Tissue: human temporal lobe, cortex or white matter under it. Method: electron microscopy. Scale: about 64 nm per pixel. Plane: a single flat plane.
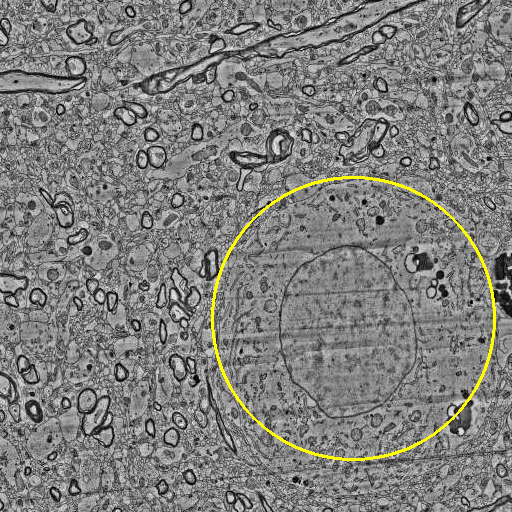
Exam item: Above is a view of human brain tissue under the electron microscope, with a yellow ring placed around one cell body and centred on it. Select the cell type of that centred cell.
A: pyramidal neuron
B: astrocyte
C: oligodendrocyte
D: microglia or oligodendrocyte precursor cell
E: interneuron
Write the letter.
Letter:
A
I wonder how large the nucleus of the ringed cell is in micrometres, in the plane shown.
In this plane the nucleus measures roughly 11 by 9 micrometers.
